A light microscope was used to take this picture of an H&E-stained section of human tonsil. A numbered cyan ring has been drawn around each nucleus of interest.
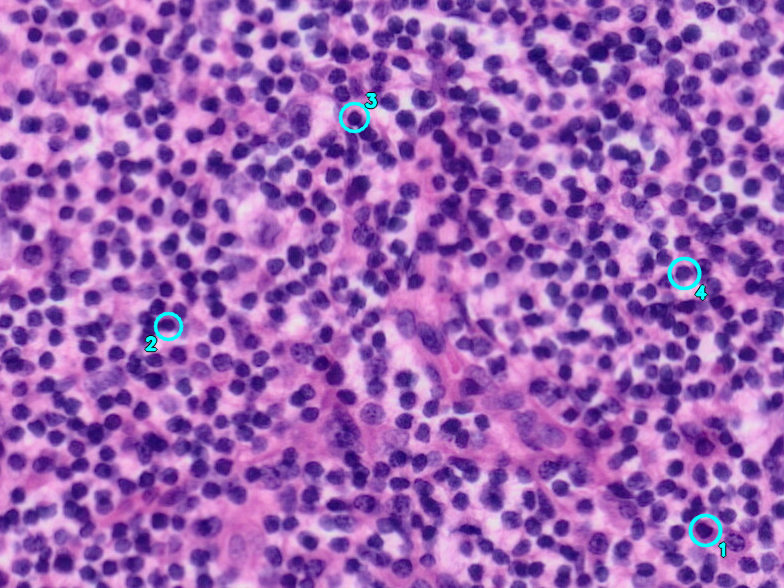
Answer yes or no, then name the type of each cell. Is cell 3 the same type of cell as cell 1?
No, as to type, cell 3 is a small lymphocyte, and cell 1 is a plasma cell.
